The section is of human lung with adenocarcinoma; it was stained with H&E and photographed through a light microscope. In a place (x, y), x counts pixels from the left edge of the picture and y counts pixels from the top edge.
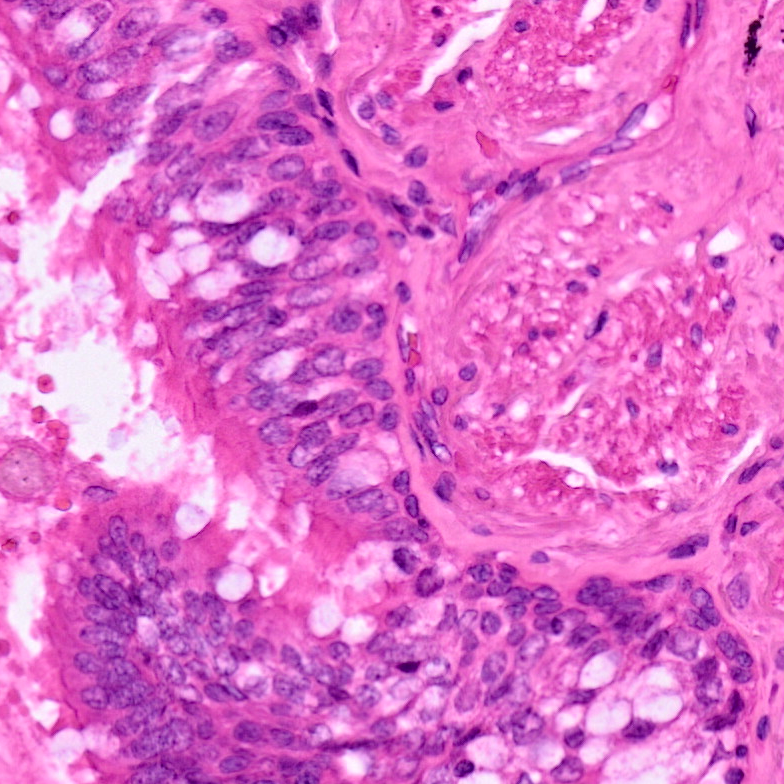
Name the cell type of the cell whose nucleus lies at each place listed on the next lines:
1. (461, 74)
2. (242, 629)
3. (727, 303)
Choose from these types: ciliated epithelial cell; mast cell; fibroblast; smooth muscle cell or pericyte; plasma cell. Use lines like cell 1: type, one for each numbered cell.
cell 1: smooth muscle cell or pericyte
cell 2: ciliated epithelial cell
cell 3: smooth muscle cell or pericyte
